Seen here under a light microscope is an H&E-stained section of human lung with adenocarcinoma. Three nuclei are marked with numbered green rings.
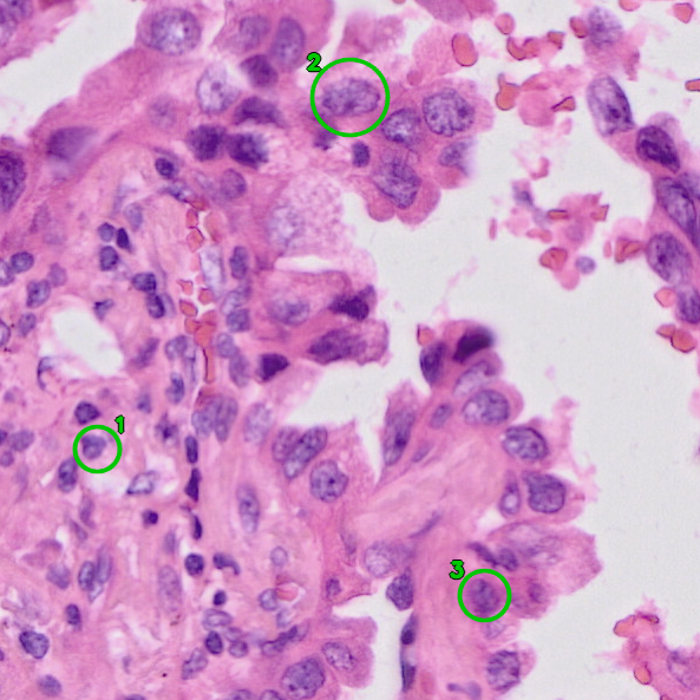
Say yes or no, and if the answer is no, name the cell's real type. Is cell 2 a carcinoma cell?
Yes.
